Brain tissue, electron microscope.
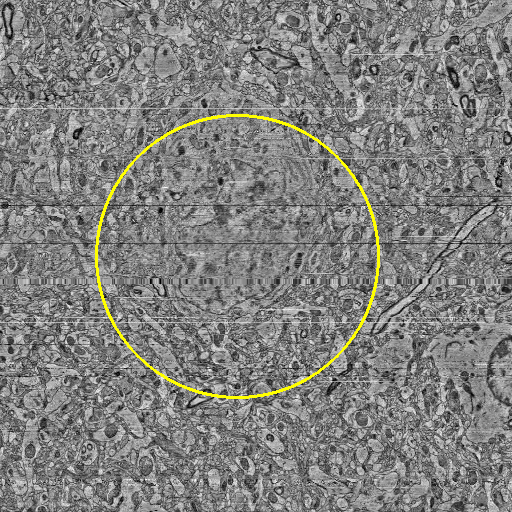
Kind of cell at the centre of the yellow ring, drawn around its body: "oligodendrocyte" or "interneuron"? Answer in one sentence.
The ring's centre falls on an interneuron.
